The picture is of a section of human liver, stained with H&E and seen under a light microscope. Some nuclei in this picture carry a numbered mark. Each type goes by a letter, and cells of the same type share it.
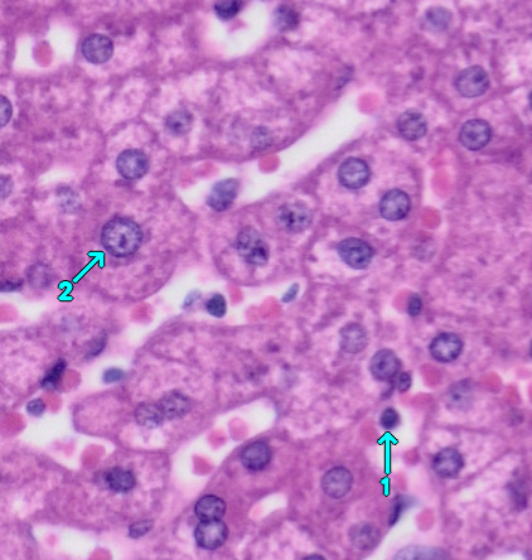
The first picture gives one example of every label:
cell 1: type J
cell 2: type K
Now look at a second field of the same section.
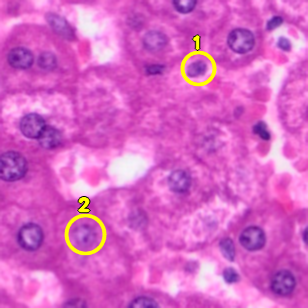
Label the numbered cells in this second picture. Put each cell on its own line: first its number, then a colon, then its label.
1: type J
2: type K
